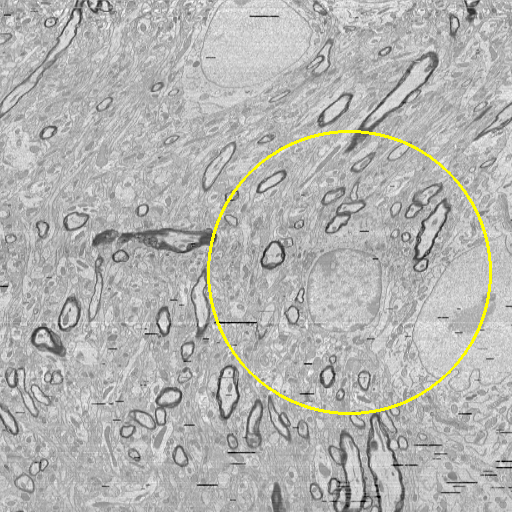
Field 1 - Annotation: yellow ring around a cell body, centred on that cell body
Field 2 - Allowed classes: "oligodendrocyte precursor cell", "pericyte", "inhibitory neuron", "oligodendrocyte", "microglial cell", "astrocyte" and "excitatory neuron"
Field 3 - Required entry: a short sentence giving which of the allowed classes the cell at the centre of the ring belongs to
The centred cell is an oligodendrocyte.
